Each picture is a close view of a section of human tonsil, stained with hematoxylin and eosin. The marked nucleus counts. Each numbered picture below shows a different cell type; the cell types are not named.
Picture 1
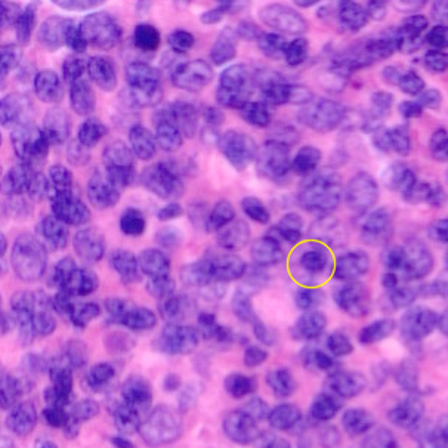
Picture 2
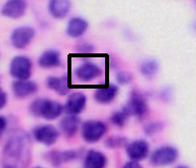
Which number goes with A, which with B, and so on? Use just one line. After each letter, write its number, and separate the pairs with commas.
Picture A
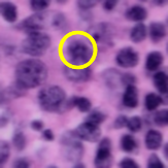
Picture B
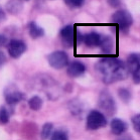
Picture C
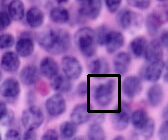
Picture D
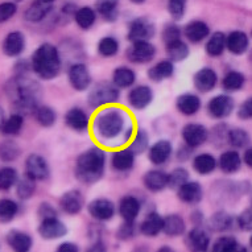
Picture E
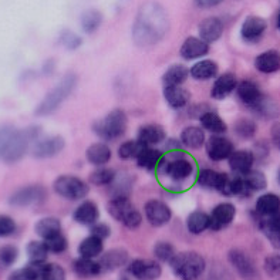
A 1, B 1, C 2, D 2, E 2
